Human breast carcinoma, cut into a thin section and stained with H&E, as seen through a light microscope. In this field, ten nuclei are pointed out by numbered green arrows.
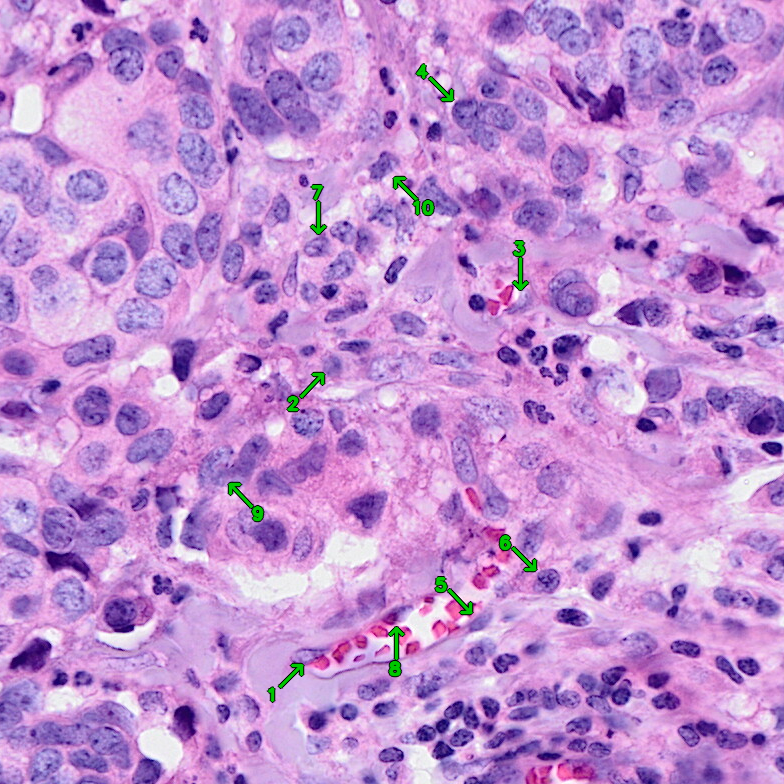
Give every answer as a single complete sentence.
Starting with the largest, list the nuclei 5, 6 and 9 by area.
Largest first, the order by area is 9, 6, 5.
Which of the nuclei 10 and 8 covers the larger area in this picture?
Number 10 is larger; its area is about 1.5 times that of number 8.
